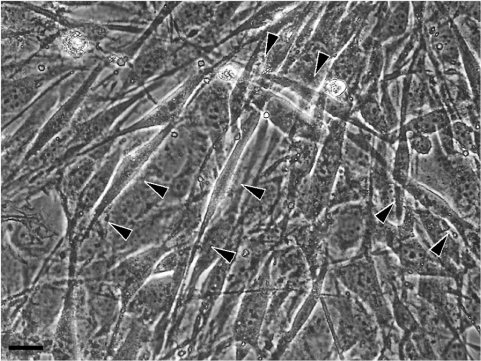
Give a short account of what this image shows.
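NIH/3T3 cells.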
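This is a cultured cell layer of fibroblasts seen in phase contrast, with many long, thin, spindle-shaped cells lying over flatter, broader cells. The long cells stretch across much of the field, mostly in roughly parallel bundles, and several are marked by black arrowheads. Their edges are bright with the phase halo, and they are narrow and tapered at the ends. The flatter cells underneath have granular, speckled cytoplasm and indistinct borders, giving a dense, crowded layer. The slender, drawn-out shape of the marked cells gives them an elongated morphology that resembles myotubes.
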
